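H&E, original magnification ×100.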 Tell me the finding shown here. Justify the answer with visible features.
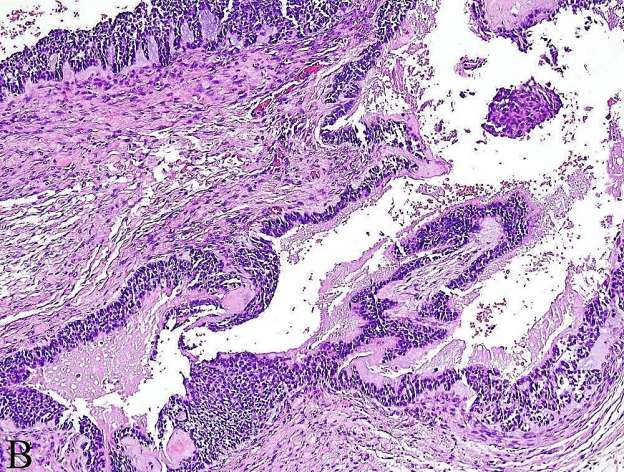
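Cystic degeneration of epithelial islands. Epithelial islands of dark basaloid cells enclose irregular open spaces. The spaces contain loose pale material and detached cells.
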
